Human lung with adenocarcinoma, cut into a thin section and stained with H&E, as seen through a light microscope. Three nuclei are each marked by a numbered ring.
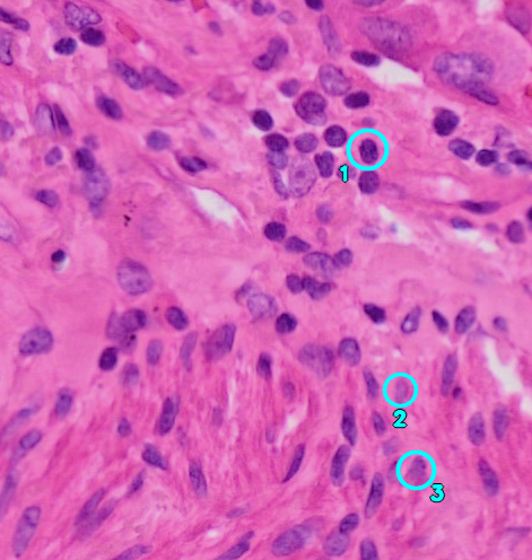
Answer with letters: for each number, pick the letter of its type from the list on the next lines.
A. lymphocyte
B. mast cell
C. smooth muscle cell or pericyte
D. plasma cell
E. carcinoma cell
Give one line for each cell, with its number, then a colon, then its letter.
1: A
2: C
3: C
